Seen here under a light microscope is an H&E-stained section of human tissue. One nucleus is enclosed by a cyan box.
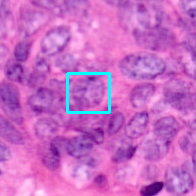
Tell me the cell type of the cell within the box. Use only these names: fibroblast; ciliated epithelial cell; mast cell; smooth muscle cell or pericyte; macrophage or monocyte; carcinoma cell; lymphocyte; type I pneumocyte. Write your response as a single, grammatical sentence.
Within this tissue, the cell within the box is a ciliated epithelial cell.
